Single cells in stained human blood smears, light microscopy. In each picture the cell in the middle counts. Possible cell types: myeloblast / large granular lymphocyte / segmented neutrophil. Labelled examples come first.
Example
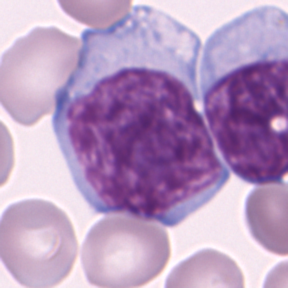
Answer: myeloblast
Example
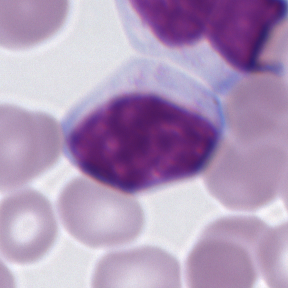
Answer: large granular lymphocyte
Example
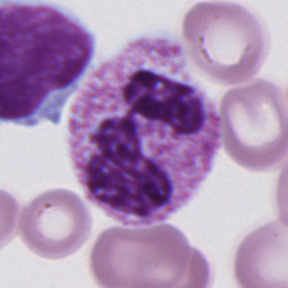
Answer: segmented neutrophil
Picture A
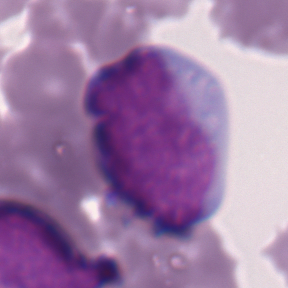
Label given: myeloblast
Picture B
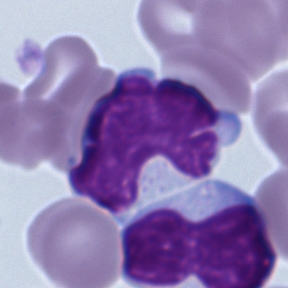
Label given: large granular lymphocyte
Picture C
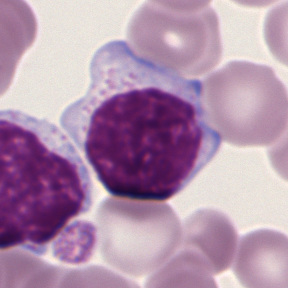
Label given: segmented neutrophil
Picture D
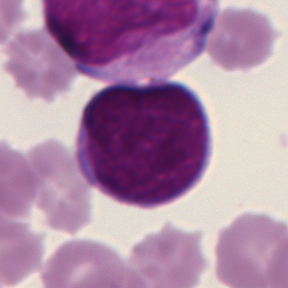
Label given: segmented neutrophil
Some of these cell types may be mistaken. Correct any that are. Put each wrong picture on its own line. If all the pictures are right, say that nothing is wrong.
C should be large granular lymphocyte, not segmented neutrophil
D should be myeloblast, not segmented neutrophil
